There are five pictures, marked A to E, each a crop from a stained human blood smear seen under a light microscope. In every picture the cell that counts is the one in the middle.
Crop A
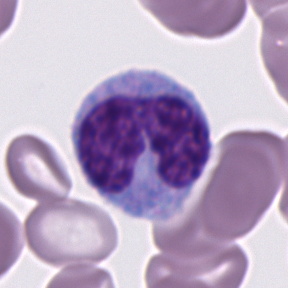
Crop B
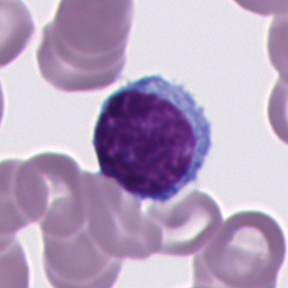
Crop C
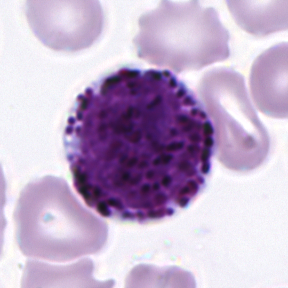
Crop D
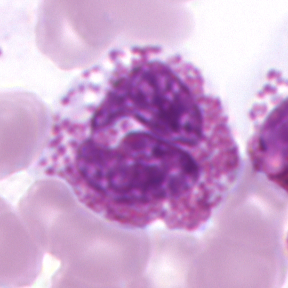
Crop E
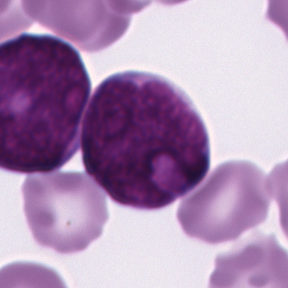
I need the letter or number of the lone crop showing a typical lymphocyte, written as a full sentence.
So the crop with a typical lymphocyte at its center is crop B.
